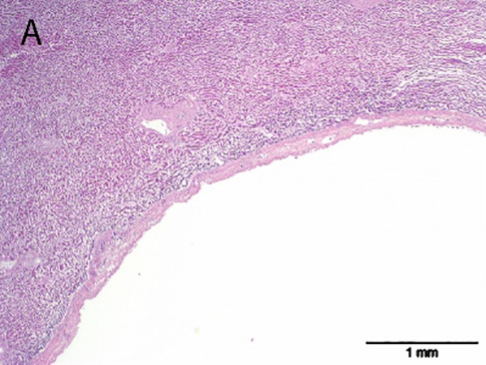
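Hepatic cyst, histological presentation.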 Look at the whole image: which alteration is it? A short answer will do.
A mostly empty lumen.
